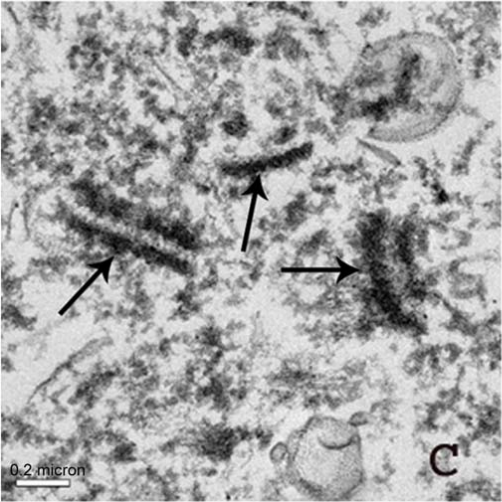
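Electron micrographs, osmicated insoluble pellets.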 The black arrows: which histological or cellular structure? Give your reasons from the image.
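The arrows mark elongated electron-dense bands. They stand in a background of loose flocculent material.
Answer: synaptic junctions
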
